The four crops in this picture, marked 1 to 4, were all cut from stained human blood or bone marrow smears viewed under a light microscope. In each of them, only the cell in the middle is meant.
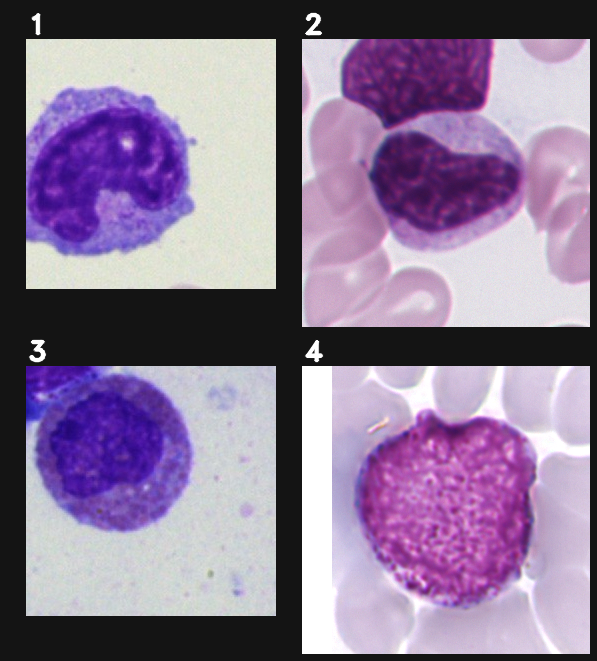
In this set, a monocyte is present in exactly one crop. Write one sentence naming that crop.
When the crops are compared, crop 1 is the one showing a monocyte.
